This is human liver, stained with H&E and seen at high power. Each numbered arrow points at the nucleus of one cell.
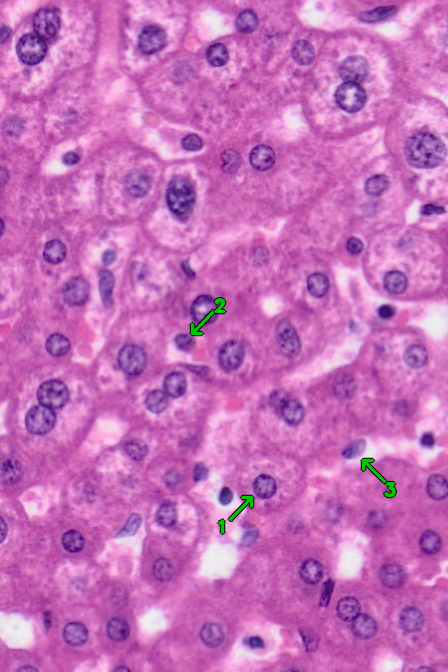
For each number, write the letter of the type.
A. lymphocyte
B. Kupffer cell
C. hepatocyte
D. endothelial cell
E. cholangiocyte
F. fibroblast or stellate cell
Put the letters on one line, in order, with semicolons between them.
C; B; D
